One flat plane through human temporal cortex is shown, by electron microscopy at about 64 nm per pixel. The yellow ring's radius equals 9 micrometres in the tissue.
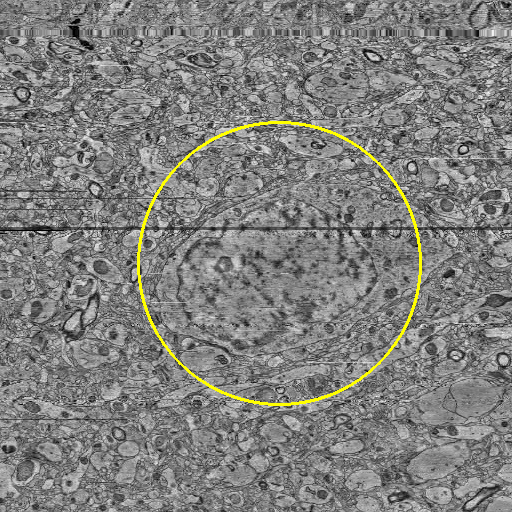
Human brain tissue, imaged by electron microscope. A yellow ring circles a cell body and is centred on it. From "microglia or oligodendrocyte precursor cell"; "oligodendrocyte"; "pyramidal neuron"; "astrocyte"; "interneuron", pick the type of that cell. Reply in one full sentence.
The cell body at the centre of the yellow ring belongs to an interneuron.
